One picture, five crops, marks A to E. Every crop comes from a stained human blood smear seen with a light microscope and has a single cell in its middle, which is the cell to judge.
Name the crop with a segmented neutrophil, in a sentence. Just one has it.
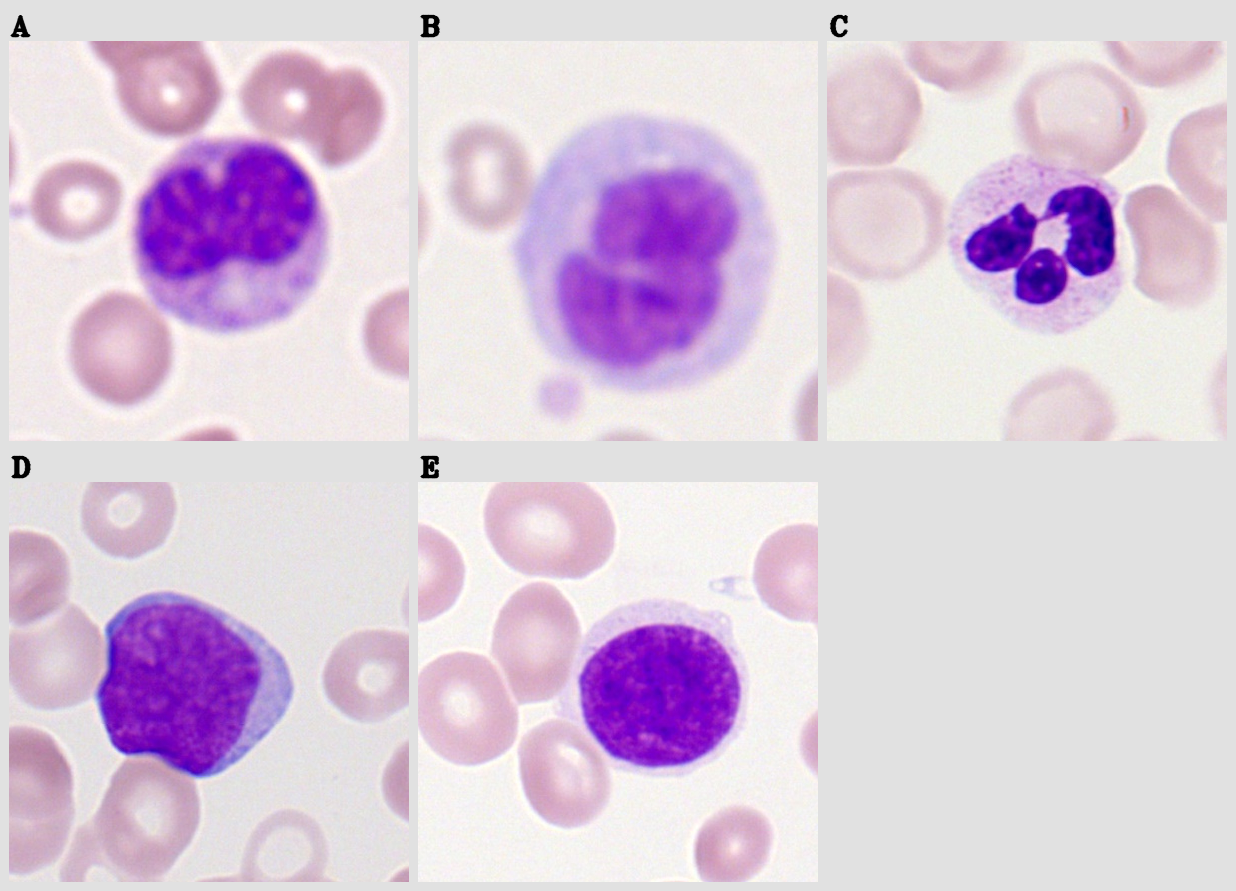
Of the labeled crops, the one with a segmented neutrophil is crop C.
